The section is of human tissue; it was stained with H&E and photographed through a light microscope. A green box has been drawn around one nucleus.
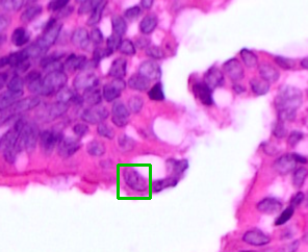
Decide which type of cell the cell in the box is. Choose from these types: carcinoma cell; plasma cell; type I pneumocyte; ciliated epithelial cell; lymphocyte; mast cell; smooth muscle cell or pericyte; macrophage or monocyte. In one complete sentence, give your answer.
The expected answer is simply that the cell in the box is a ciliated epithelial cell.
